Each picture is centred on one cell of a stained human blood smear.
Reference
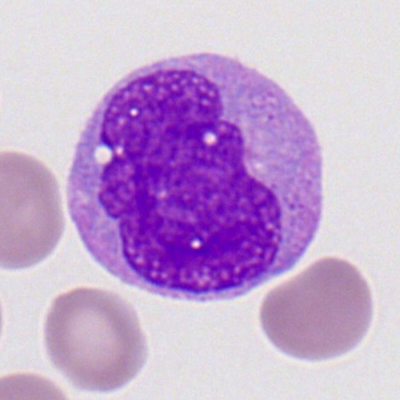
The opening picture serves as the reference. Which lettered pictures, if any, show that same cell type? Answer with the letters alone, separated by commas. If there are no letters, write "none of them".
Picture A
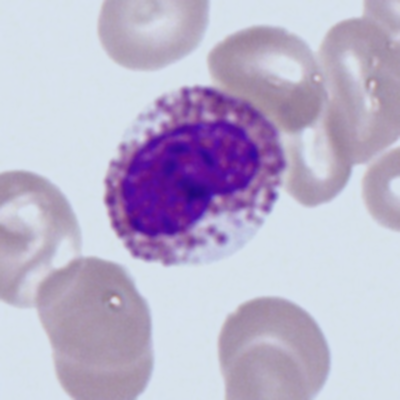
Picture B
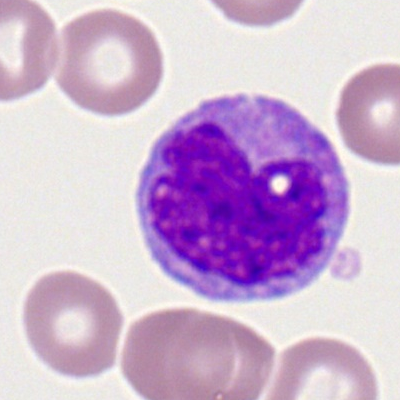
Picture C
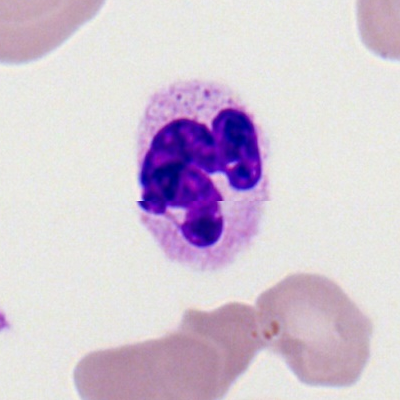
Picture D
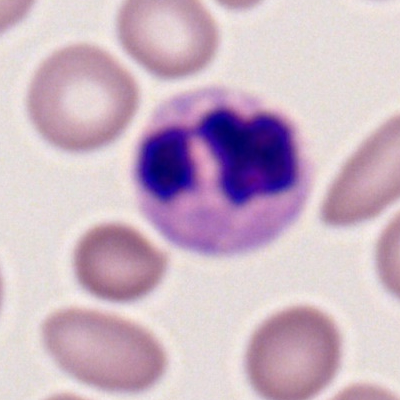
B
